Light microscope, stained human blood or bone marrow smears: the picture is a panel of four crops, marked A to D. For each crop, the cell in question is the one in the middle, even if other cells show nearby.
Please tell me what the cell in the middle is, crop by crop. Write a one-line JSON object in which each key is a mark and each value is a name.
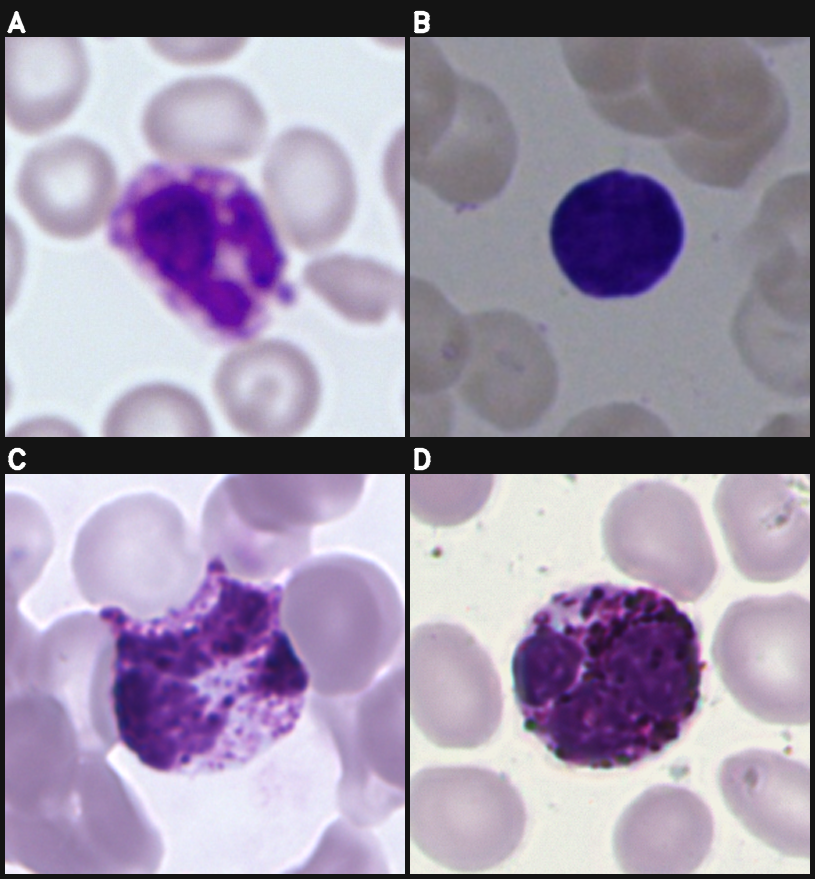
{"A": "basophil", "B": "lymphocyte", "C": "basophil", "D": "basophil"}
